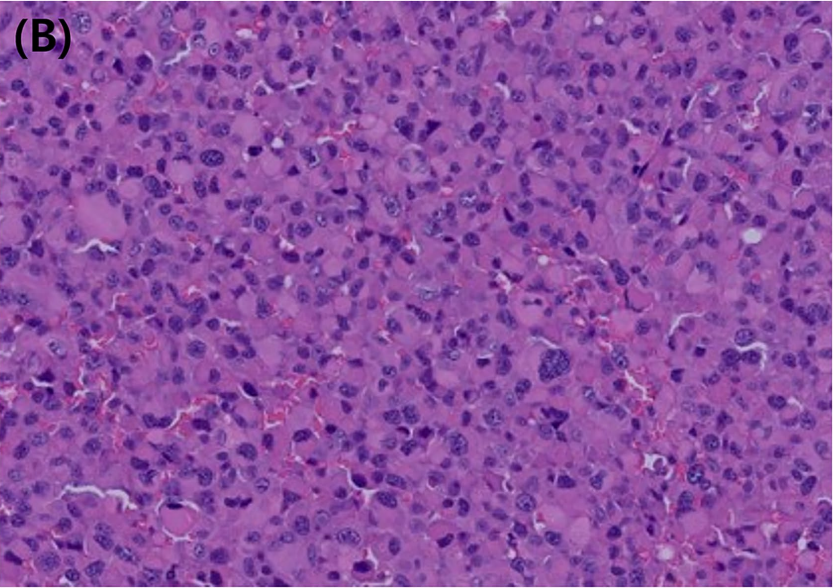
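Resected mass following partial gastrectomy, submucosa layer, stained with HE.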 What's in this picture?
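The cells lie packed side by side with almost no stroma between them, only thin slit-like vessels containing red blood cells. Each cell is round to oval, with a generous rim of pink cytoplasm. Many cells have a round, dark purple nucleus pushed toward one side. The nuclei vary in size, and a few cells are much larger, with large or multiple nuclei. Scattered among the cells are rounded, glassy pink bodies.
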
